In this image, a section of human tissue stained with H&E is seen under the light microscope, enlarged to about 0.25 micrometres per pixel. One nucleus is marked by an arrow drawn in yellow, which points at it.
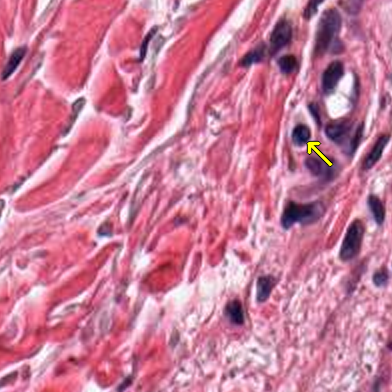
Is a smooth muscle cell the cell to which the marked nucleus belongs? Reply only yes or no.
no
